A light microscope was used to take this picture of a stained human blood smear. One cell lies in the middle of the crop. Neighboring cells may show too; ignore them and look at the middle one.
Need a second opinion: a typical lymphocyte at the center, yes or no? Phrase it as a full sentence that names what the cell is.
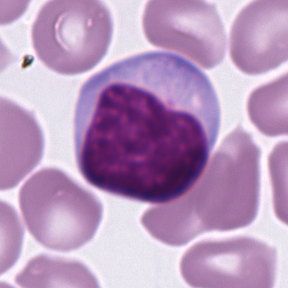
Yes, the centrally placed cell is a typical lymphocyte.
